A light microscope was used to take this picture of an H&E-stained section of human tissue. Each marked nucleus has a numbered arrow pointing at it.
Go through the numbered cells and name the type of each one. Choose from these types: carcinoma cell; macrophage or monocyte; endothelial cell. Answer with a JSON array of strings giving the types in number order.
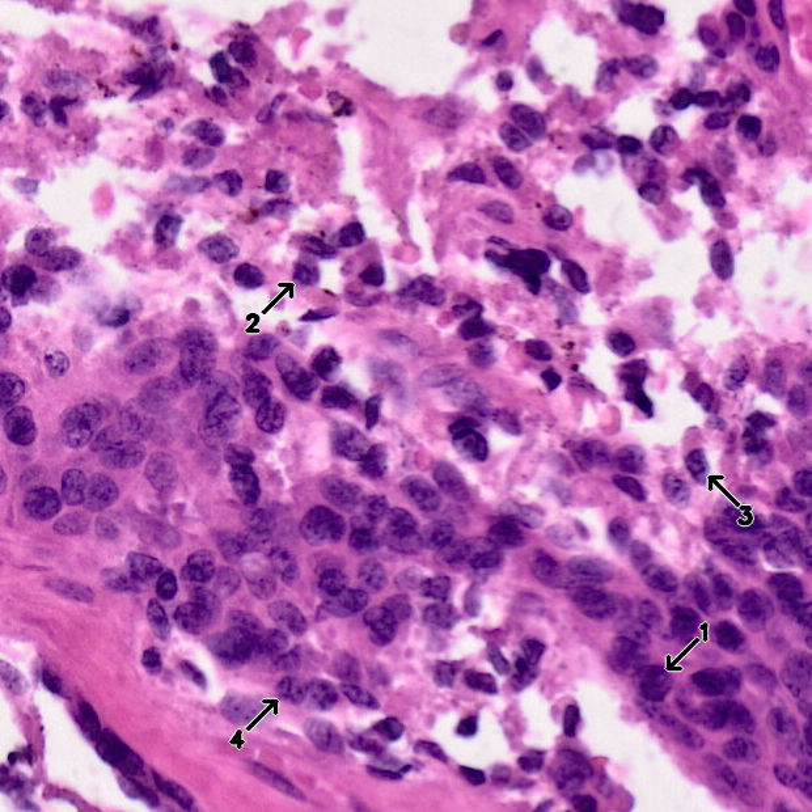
["carcinoma cell", "carcinoma cell", "macrophage or monocyte", "carcinoma cell"]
